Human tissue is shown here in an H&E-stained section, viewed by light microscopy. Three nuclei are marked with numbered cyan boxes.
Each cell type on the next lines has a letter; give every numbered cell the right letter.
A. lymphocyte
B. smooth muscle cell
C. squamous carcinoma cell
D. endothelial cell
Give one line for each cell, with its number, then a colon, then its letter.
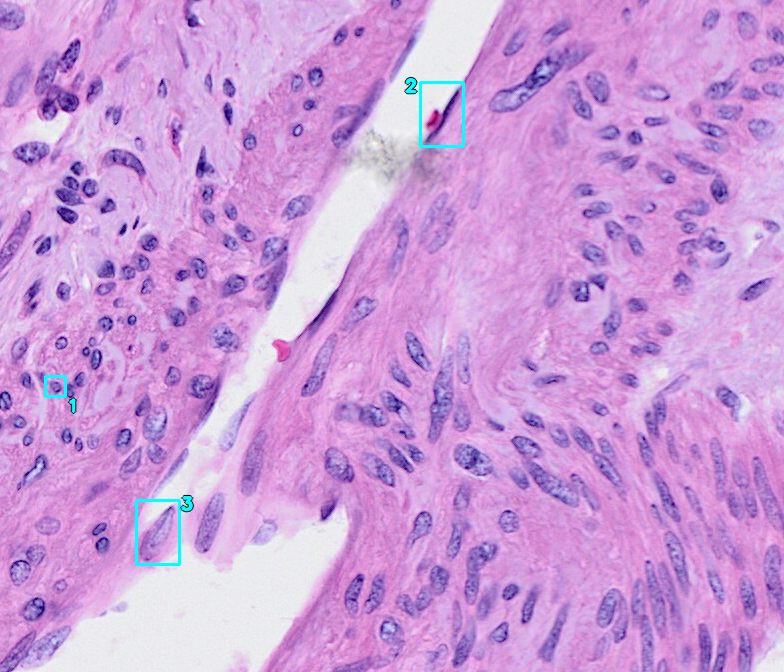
1: B
2: D
3: D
